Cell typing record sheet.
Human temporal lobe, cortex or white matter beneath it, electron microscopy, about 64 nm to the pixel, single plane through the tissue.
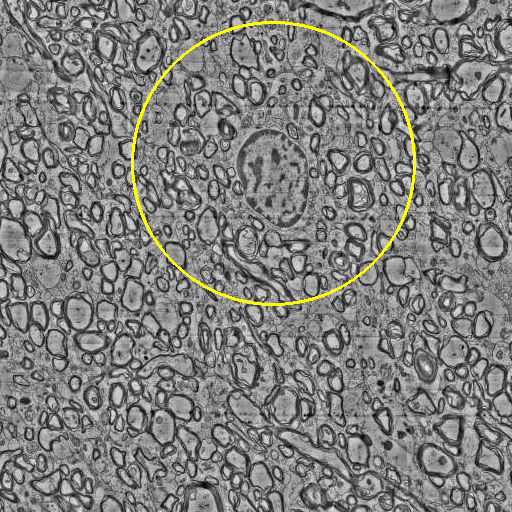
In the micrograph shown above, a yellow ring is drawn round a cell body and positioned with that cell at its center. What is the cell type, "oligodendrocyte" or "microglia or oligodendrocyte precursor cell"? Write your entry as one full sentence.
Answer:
The cell body at the center of the ring belongs to a microglial cell or oligodendrocyte precursor cell.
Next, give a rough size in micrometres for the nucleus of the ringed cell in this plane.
The nucleus is approximately 6 micrometers long by 4 micrometers wide in this plane.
